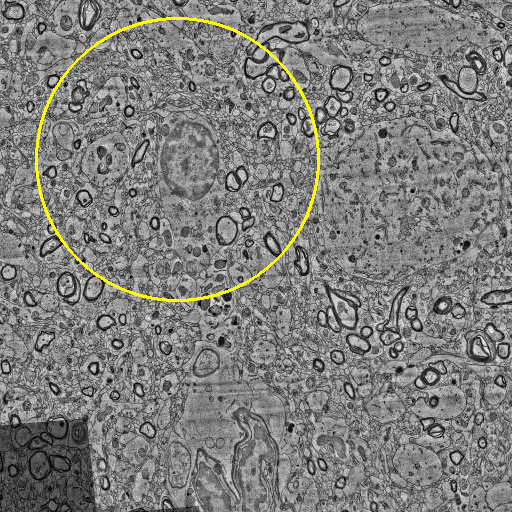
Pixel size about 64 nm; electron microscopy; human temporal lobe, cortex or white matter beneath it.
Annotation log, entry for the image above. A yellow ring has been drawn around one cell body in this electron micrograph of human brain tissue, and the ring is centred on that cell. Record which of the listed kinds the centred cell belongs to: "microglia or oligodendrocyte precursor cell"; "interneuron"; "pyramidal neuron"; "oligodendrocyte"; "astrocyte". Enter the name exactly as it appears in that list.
oligodendrocyte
